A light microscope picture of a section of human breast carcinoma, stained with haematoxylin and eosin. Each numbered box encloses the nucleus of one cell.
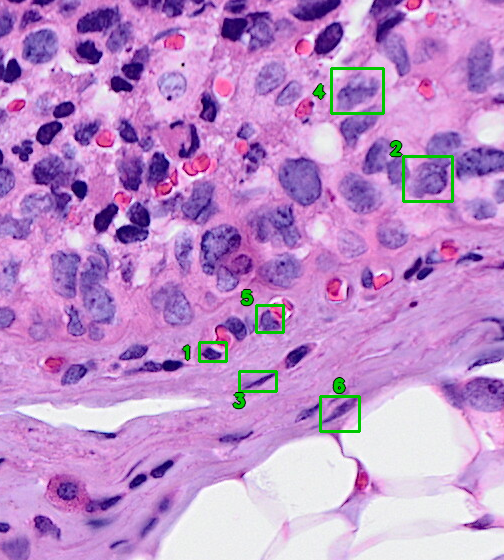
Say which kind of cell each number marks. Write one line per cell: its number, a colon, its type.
1: endothelial cell
2: carcinoma cell
3: fibroblast
4: carcinoma cell
5: endothelial cell
6: fibroblast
